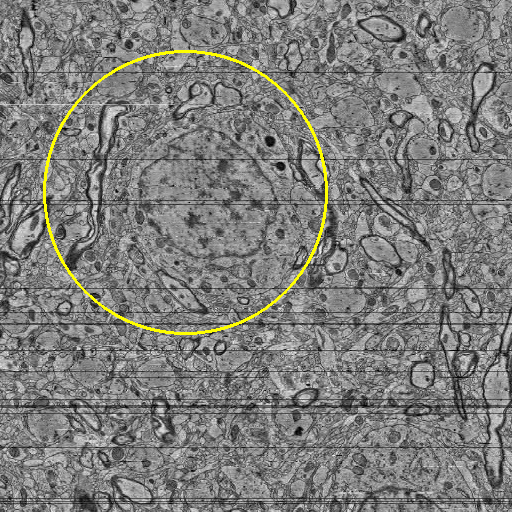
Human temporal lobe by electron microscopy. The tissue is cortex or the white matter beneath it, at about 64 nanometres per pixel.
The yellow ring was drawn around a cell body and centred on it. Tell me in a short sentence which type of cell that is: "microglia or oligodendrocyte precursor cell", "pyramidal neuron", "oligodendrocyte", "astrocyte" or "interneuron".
The cell at the ring's centre is an interneuron.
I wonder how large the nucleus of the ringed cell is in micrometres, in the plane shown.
Approximately 9 micrometres across, in this plane.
